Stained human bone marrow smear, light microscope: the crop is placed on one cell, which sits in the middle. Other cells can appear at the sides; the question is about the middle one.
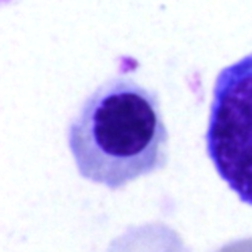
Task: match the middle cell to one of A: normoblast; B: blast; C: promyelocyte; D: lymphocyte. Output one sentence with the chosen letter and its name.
The cell in the centre of the crop is a normoblast, so option A is the correct one.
